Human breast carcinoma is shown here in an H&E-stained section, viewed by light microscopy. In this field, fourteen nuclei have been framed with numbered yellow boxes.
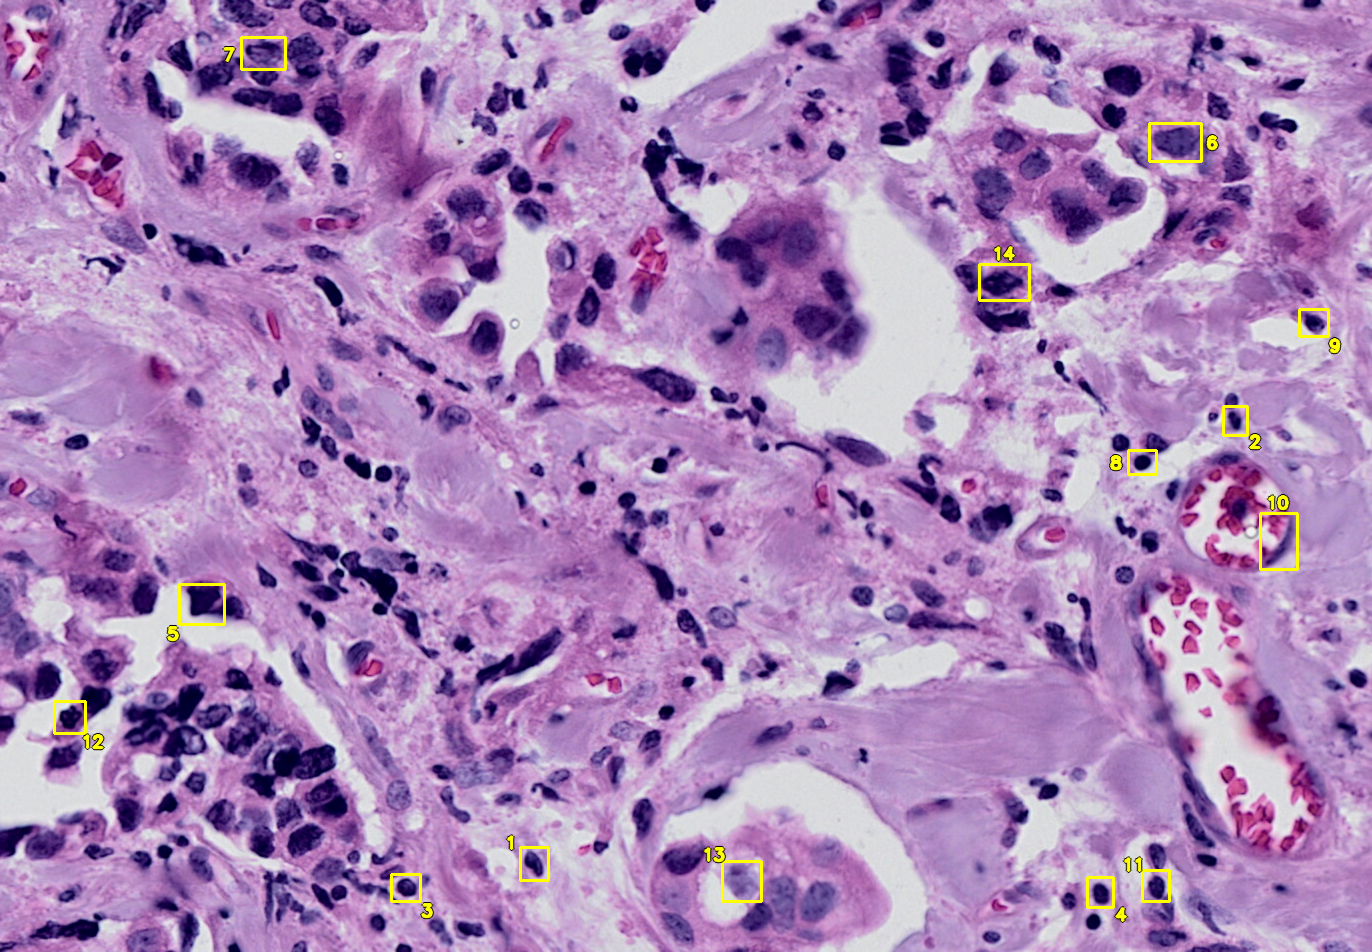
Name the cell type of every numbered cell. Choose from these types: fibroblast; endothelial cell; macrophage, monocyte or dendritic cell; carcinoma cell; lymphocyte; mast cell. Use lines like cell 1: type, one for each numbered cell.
cell 1: lymphocyte
cell 2: lymphocyte
cell 3: lymphocyte
cell 4: lymphocyte
cell 5: carcinoma cell
cell 6: carcinoma cell
cell 7: carcinoma cell
cell 8: lymphocyte
cell 9: lymphocyte
cell 10: endothelial cell
cell 11: lymphocyte
cell 12: carcinoma cell
cell 13: carcinoma cell
cell 14: carcinoma cell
